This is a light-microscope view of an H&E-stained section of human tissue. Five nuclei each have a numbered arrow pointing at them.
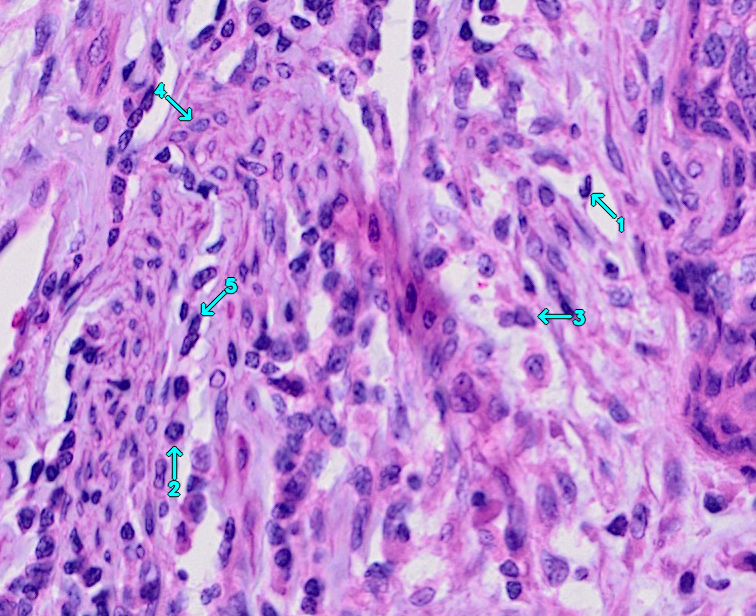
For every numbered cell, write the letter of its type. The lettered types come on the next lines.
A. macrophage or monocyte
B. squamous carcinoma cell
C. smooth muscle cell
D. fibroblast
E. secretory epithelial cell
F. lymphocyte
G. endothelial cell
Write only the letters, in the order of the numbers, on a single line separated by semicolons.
F; F; A; C; F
